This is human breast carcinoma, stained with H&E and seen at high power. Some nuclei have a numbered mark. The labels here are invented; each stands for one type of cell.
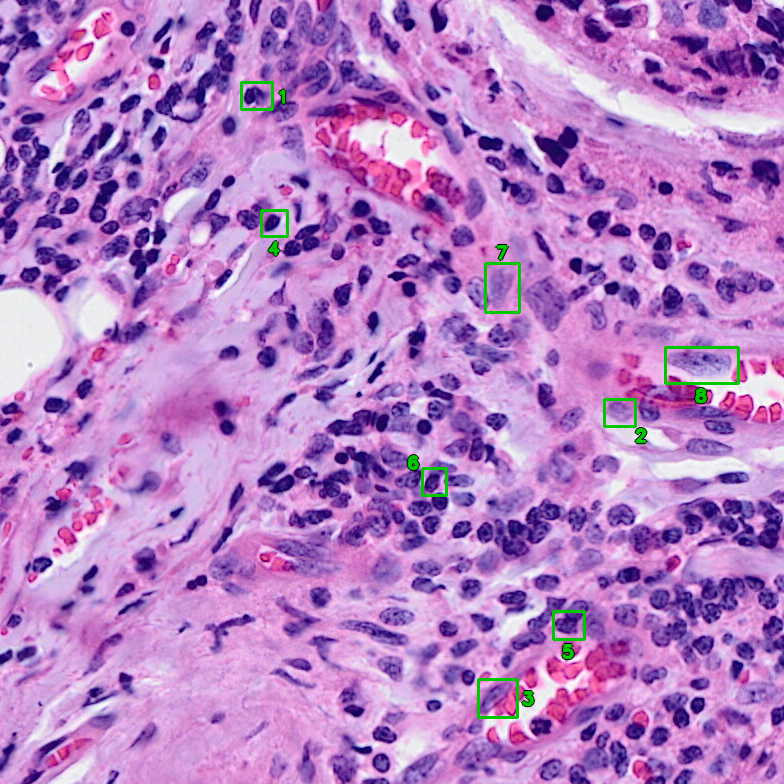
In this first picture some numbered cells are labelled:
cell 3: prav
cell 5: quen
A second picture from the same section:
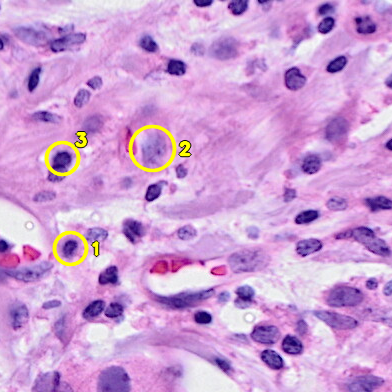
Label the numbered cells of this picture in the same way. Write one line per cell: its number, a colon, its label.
1: quen
2: prav
3: quen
